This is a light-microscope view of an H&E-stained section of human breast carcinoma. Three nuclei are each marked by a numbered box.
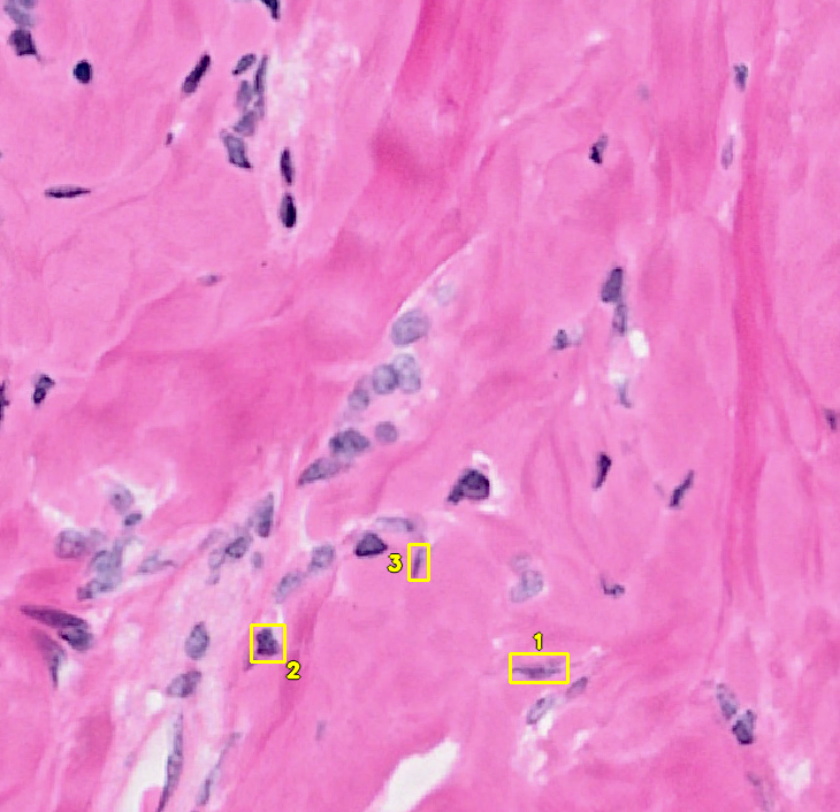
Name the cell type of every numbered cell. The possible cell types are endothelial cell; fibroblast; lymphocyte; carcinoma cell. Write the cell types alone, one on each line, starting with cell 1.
fibroblast
lymphocyte
fibroblast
